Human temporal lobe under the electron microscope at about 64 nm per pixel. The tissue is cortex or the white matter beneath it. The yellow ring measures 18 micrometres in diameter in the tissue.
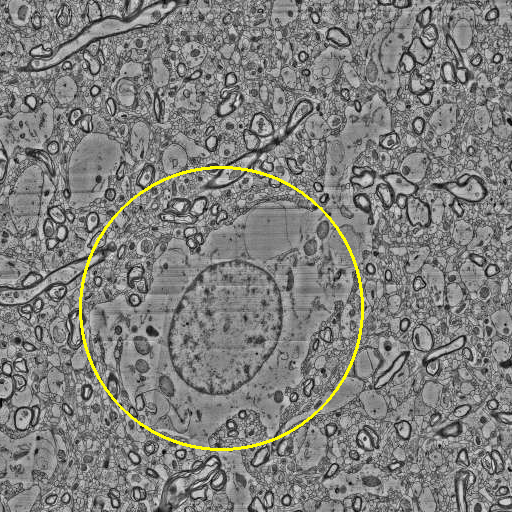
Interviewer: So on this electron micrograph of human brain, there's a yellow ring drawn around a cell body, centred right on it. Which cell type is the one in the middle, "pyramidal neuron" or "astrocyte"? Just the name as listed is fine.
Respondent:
astrocyte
